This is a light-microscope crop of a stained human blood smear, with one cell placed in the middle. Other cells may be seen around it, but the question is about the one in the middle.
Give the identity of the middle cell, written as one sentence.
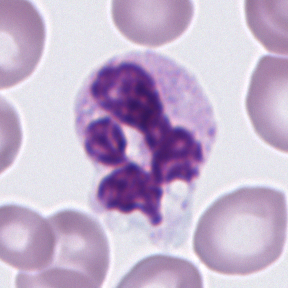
Regarding the central cell, it is a neutrophil.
